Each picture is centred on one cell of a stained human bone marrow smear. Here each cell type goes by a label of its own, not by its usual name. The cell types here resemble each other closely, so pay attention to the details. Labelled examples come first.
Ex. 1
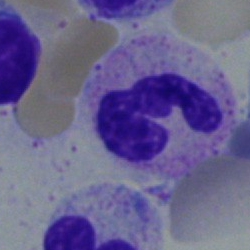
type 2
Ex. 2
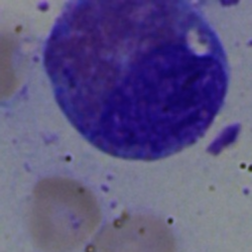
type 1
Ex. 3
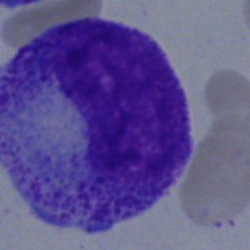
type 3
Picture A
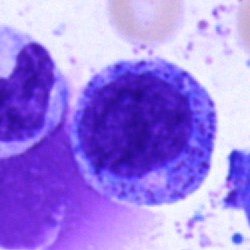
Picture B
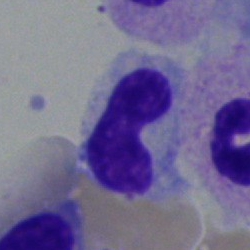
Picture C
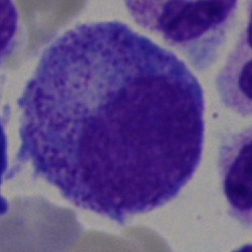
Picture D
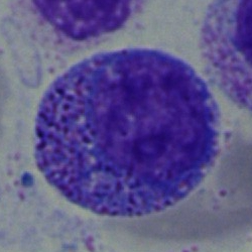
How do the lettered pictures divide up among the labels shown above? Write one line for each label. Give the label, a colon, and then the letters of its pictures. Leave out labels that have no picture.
type 2: B
type 3: A, C, D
